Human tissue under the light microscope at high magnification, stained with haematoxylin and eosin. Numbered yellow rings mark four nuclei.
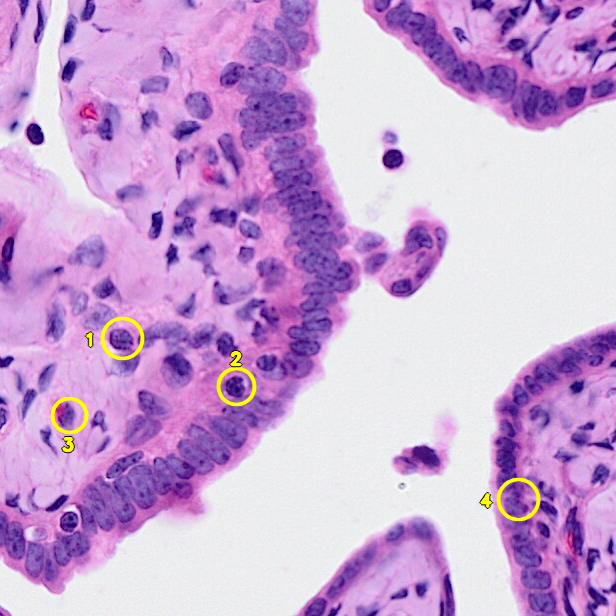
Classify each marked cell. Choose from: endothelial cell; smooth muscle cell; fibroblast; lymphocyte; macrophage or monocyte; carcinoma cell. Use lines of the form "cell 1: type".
cell 1: lymphocyte
cell 2: lymphocyte
cell 3: endothelial cell
cell 4: carcinoma cell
